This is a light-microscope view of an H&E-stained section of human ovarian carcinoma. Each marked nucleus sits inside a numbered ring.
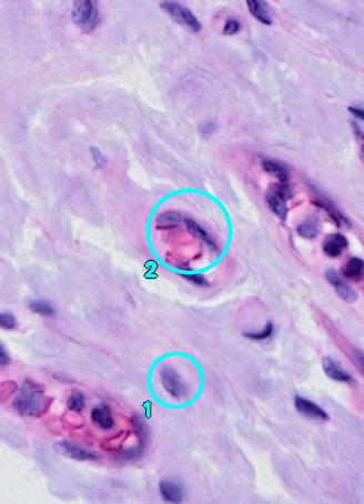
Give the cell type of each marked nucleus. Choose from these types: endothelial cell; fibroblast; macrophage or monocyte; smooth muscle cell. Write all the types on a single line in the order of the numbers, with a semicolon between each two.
fibroblast; endothelial cell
